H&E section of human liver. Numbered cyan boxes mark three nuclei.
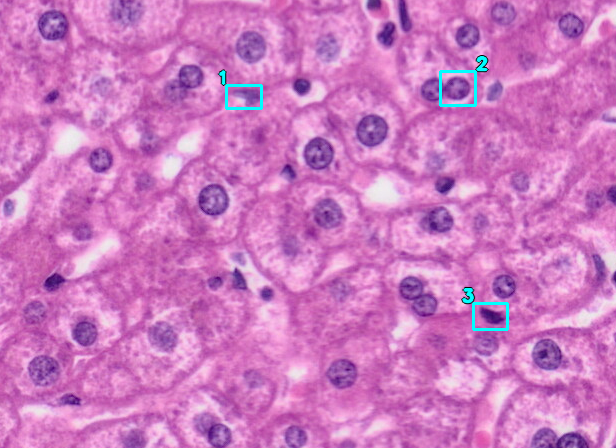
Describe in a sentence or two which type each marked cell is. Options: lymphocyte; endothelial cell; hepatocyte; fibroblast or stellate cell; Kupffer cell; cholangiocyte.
Cell 1 is an endothelial cell. Cell 2 is a hepatocyte. Cell 3 is a fibroblast or stellate cell.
